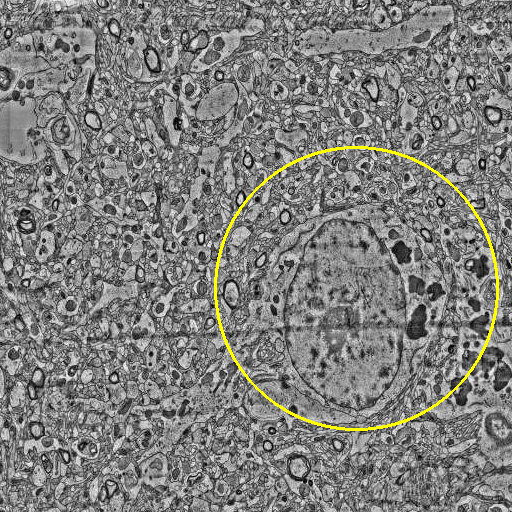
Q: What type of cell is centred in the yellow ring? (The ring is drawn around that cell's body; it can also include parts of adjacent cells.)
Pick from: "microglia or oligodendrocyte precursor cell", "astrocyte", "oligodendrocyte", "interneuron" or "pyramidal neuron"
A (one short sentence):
The yellow ring is centred on an interneuron.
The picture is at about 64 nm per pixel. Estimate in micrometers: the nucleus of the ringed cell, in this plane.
The nucleus of the ringed cell is approximately 12 by 8 micrometres in this plane.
